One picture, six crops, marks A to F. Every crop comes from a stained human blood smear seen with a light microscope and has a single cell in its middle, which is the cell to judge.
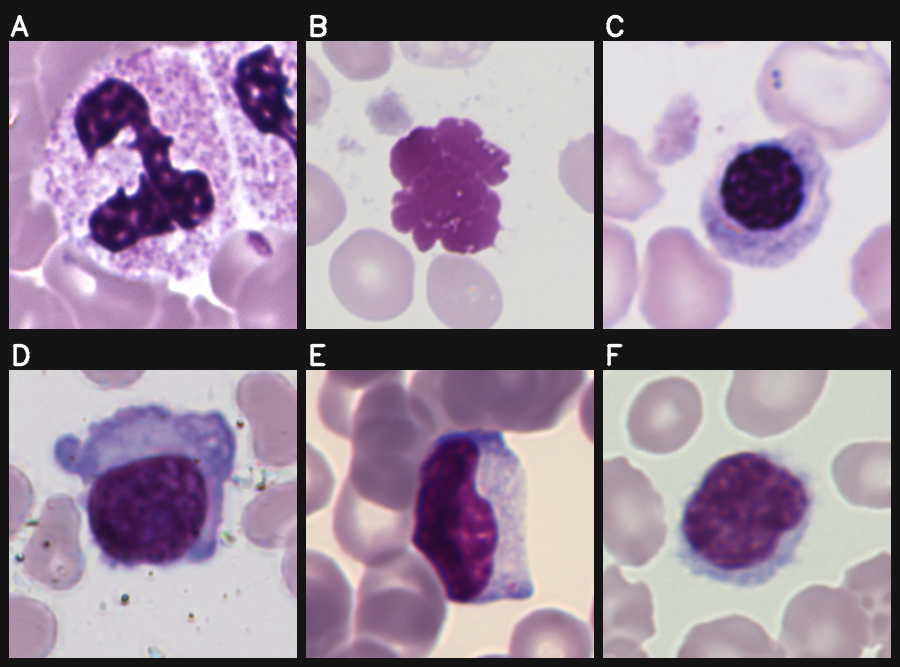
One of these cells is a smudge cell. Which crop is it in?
B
